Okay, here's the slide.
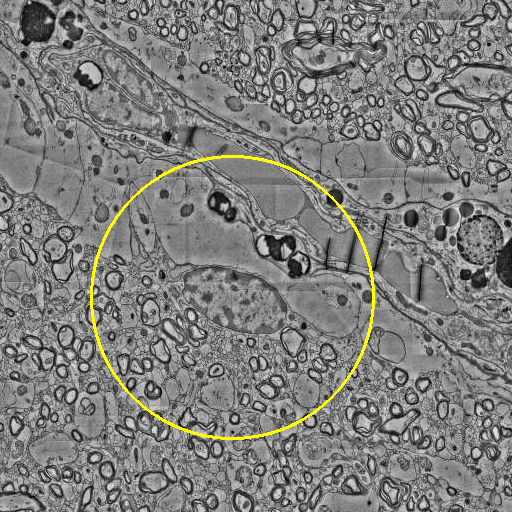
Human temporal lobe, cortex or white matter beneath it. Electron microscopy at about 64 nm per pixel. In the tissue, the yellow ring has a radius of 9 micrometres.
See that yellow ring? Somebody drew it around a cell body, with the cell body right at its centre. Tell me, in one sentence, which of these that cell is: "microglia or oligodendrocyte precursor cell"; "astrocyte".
The cell in the middle of the ring is a microglial cell or oligodendrocyte precursor cell.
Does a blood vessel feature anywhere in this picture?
Yes, there is a blood vessel in the image.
